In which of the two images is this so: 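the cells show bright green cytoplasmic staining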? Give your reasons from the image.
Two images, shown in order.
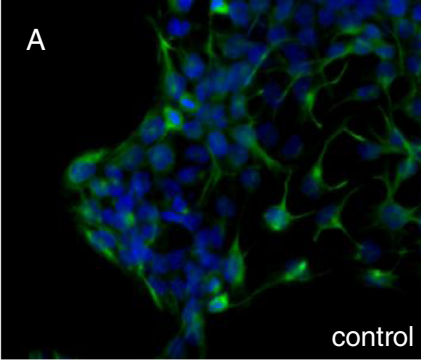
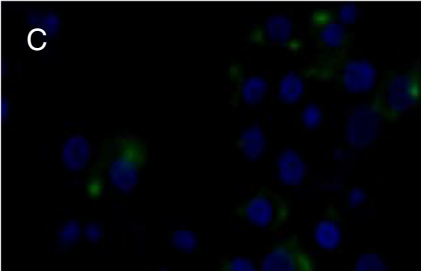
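Second image: only faint, scattered green specks beside the blue nuclei. First image: strong green staining fills the cytoplasm and outlines long processes. The answer: the first image.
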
